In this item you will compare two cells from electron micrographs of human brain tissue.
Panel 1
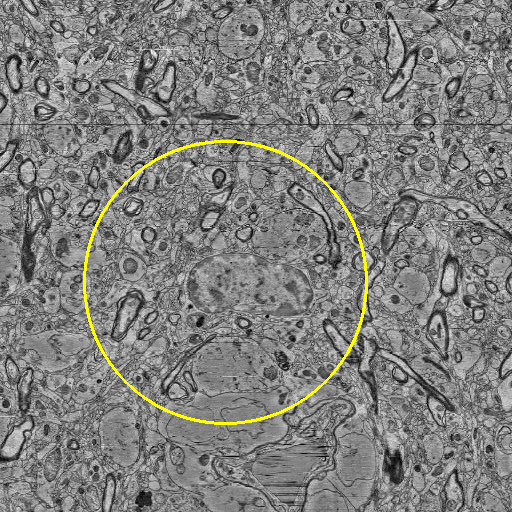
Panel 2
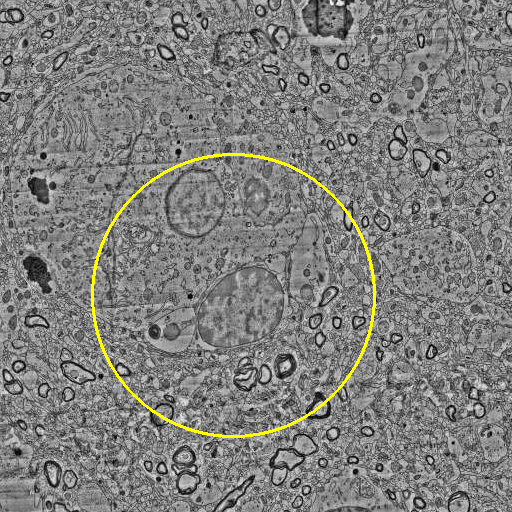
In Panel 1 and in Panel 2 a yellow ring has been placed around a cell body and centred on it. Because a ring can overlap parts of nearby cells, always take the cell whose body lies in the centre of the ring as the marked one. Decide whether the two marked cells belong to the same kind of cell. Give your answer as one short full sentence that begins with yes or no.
Yes, the two marked cells belong to the same kind of cell.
